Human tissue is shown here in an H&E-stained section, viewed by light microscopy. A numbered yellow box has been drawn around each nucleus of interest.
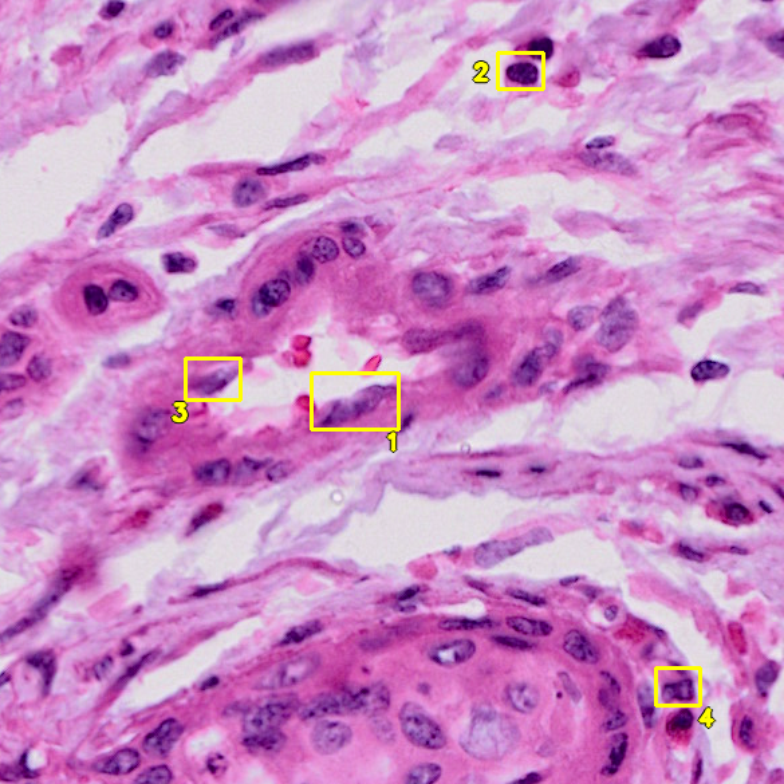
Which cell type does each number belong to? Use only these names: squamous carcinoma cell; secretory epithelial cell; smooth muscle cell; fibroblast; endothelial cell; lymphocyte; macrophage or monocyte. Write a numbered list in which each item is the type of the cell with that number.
1. endothelial cell
2. lymphocyte
3. endothelial cell
4. macrophage or monocyte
